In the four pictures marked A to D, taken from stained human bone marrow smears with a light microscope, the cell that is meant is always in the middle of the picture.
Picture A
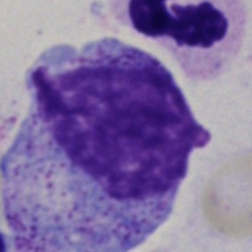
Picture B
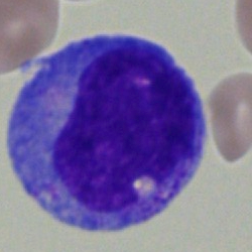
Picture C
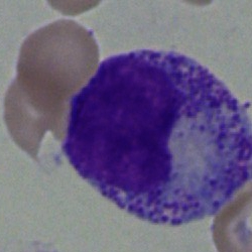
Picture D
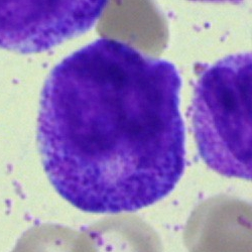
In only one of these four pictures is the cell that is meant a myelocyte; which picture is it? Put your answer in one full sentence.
Picture C shows the myelocyte.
